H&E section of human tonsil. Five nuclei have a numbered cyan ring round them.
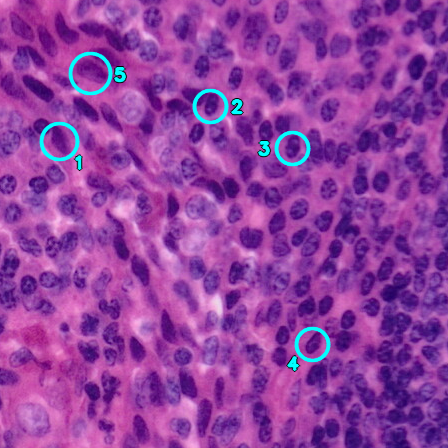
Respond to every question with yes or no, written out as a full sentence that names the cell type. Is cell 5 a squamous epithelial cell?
Yes, with respect to number 5, the cell is a squamous epithelial cell.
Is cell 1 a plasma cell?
No, number 1 points to a squamous epithelial cell and not to a plasma cell.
